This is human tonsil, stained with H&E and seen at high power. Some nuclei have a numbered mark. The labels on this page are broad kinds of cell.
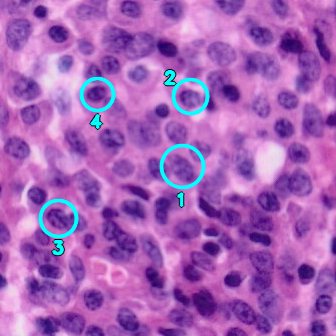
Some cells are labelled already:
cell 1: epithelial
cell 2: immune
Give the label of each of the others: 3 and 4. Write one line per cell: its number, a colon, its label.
3: immune
4: immune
